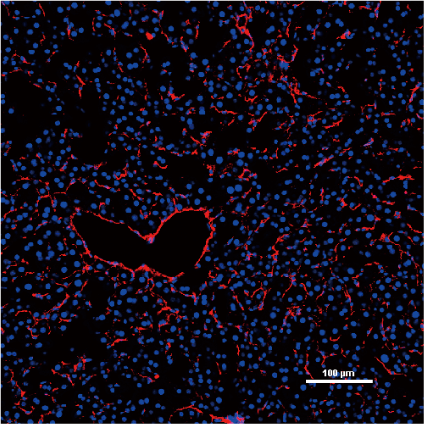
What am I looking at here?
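This is a fluorescence view of liver tissue, with many small blue nuclei scattered fairly evenly across the field. Thin red strands thread between the nuclei in a branching network. A larger vessel near the middle is rimmed by a continuous bright red line along its wall.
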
